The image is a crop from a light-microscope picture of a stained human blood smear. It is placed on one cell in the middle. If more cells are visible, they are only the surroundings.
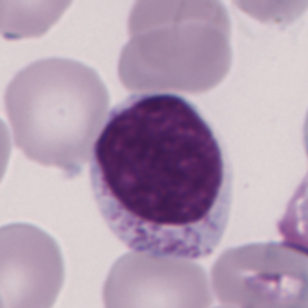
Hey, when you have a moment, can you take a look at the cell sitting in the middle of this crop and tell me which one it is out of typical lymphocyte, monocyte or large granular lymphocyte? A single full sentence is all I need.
The cell centered in this field of view is a large granular lymphocyte.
